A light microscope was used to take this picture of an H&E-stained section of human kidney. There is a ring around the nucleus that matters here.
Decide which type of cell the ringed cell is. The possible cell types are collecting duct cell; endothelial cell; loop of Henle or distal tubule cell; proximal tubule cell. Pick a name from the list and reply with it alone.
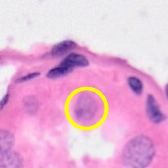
proximal tubule cell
